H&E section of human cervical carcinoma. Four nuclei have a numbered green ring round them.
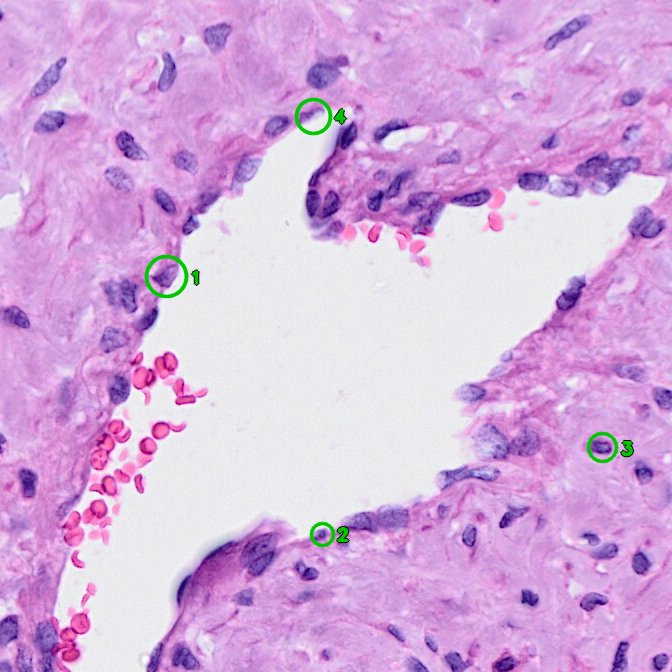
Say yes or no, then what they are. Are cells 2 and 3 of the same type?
No, cell 2 is an endothelial cell and cell 3 is a smooth muscle cell.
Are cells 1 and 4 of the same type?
Yes, both are endothelial cells.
